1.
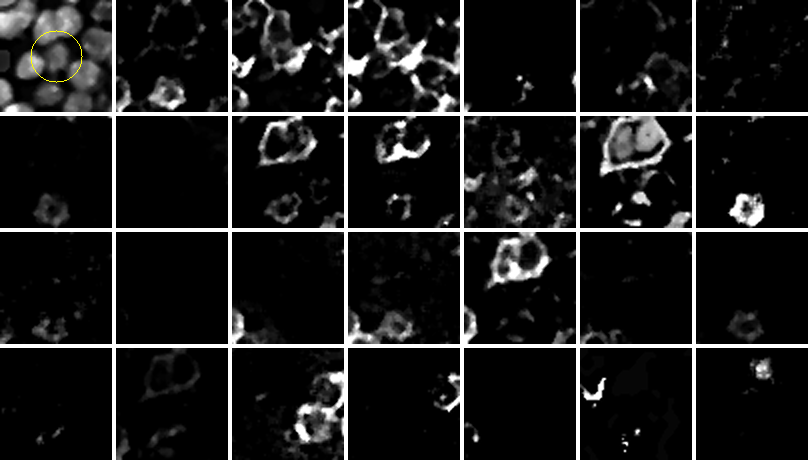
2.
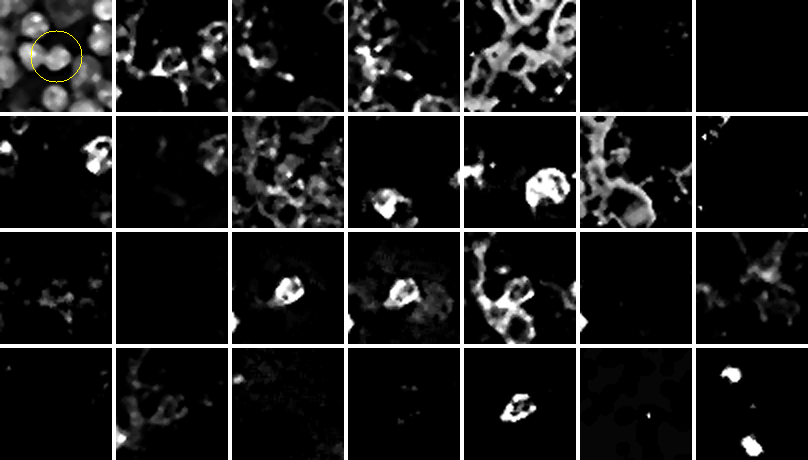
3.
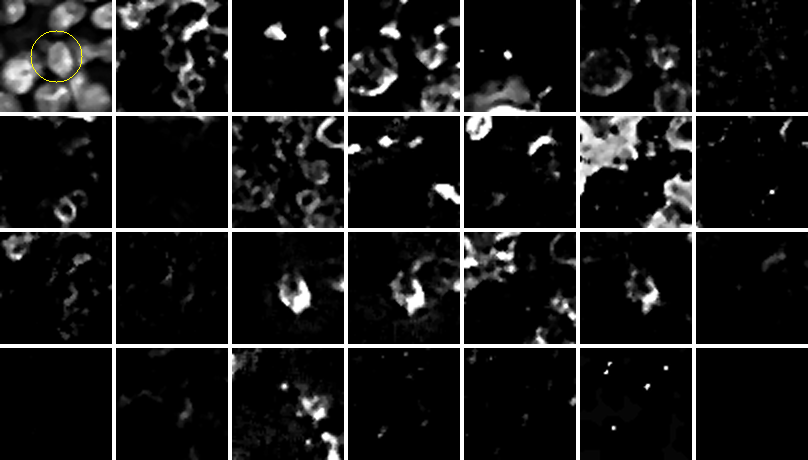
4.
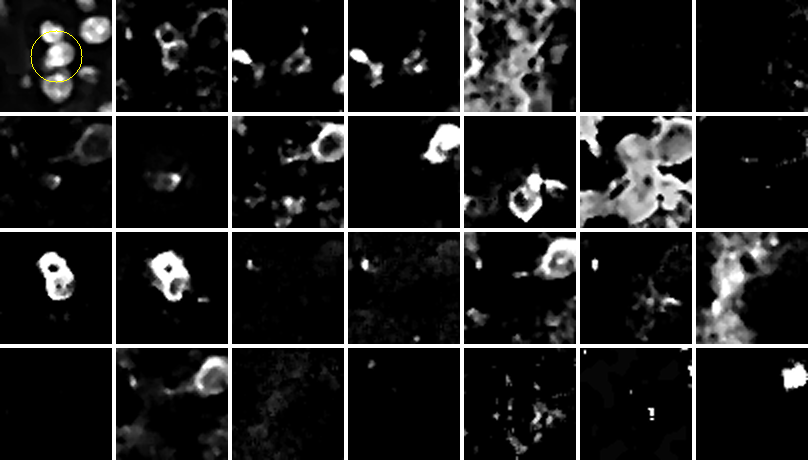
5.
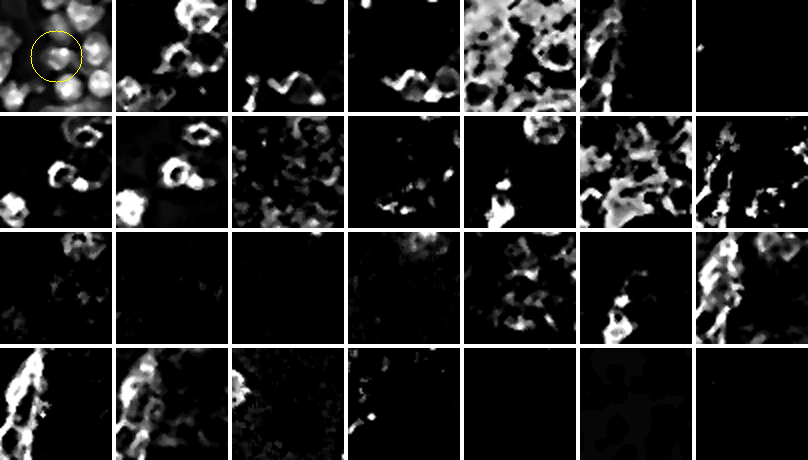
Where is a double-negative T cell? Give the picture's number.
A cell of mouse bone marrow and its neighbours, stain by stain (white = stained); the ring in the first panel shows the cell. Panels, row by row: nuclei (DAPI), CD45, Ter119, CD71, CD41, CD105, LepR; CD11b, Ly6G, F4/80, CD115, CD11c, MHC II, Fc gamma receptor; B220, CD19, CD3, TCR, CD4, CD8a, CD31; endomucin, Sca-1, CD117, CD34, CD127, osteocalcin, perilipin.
3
